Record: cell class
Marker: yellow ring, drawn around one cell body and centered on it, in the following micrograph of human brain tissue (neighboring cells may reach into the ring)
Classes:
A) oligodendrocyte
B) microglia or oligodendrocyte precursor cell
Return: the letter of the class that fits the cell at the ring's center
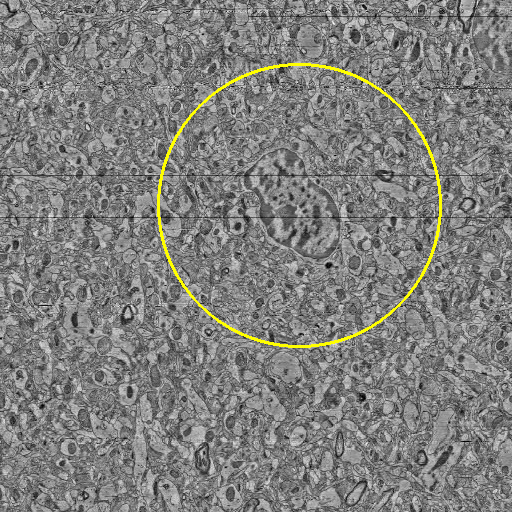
B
